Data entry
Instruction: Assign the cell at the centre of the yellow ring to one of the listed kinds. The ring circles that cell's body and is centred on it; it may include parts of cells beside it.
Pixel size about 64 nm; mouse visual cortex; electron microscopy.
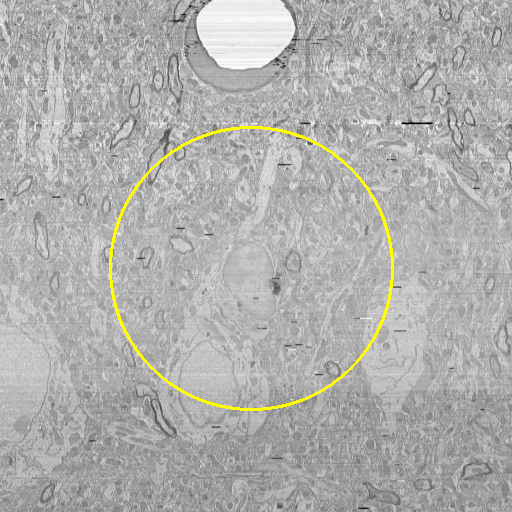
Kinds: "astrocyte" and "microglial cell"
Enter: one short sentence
The centre of the ring falls on a microglial cell.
